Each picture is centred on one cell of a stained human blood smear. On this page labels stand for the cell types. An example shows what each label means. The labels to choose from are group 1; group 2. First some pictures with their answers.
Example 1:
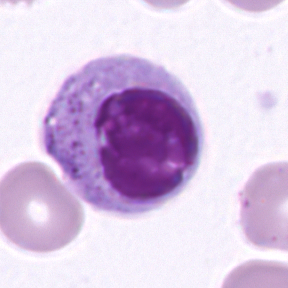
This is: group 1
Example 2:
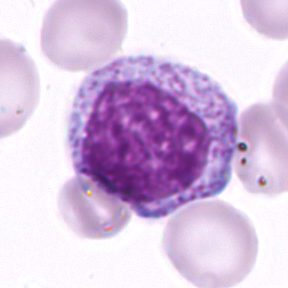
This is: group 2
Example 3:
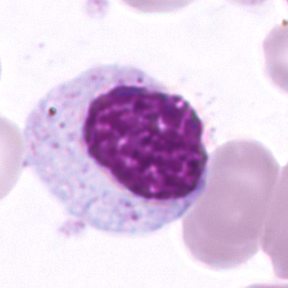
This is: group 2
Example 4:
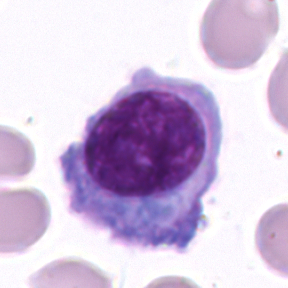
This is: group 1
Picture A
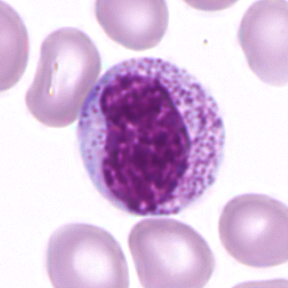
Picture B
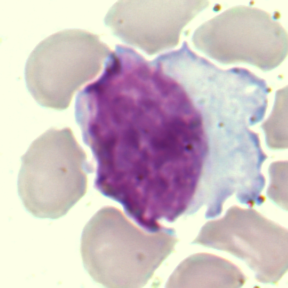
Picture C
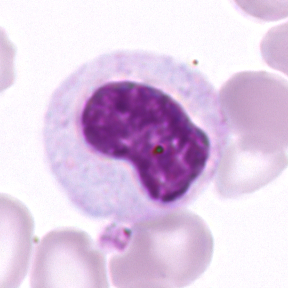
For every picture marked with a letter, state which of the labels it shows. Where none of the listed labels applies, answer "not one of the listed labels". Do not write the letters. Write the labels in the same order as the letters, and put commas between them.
not one of the listed labels, group 1, not one of the listed labels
